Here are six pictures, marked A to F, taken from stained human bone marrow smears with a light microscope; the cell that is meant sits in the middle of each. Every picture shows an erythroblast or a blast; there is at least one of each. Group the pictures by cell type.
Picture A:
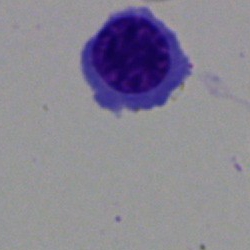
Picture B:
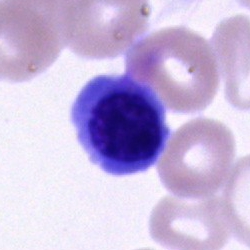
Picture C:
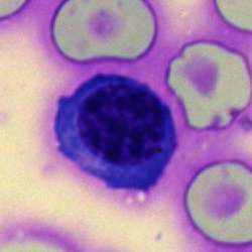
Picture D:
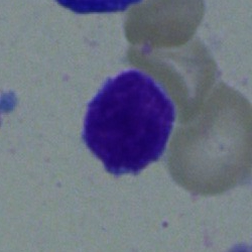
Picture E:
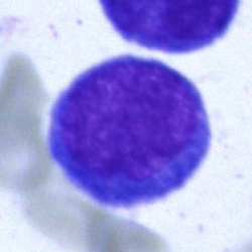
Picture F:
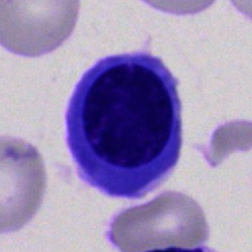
A: erythroblast
B: erythroblast
C: erythroblast
D: blast
E: blast
F: erythroblast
